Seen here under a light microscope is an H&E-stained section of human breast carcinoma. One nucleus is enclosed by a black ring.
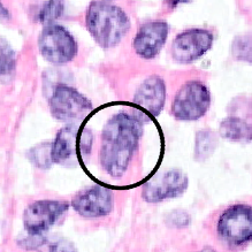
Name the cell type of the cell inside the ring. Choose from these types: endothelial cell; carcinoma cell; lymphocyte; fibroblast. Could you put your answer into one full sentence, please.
On this particular slide, the cell inside the ring is a carcinoma cell.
